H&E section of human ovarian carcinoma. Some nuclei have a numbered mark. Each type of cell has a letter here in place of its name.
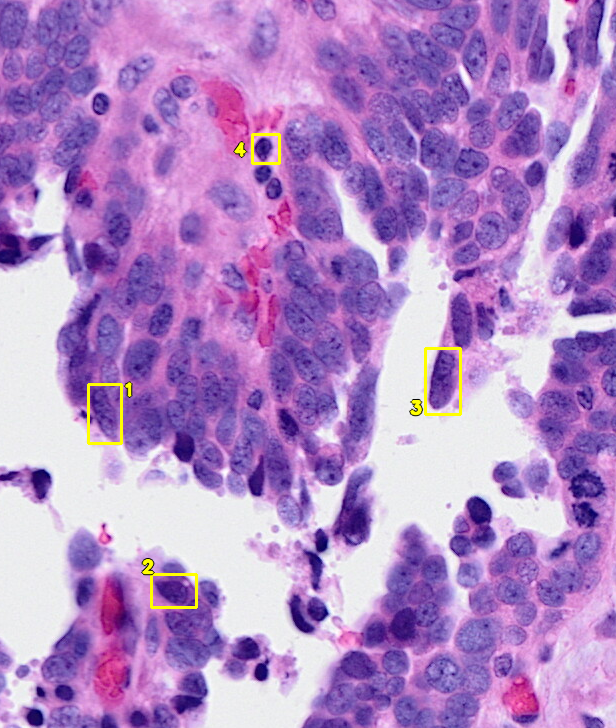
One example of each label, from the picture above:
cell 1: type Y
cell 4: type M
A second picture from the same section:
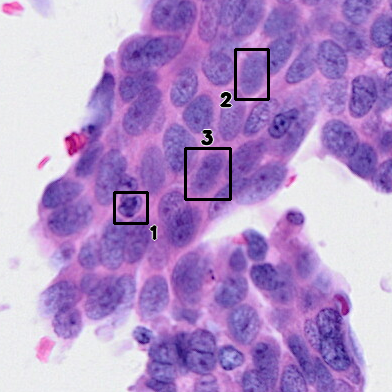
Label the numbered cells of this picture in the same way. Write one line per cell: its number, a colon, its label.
1: type M
2: type Y
3: type Y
